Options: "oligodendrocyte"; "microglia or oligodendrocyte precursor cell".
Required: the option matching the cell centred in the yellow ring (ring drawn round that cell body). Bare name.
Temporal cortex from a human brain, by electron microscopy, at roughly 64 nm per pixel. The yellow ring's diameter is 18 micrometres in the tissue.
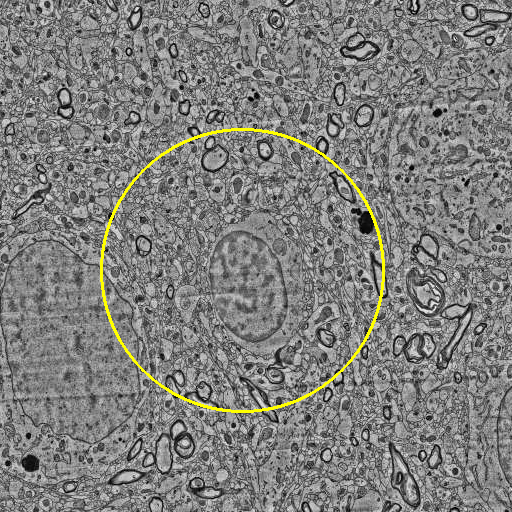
oligodendrocyte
